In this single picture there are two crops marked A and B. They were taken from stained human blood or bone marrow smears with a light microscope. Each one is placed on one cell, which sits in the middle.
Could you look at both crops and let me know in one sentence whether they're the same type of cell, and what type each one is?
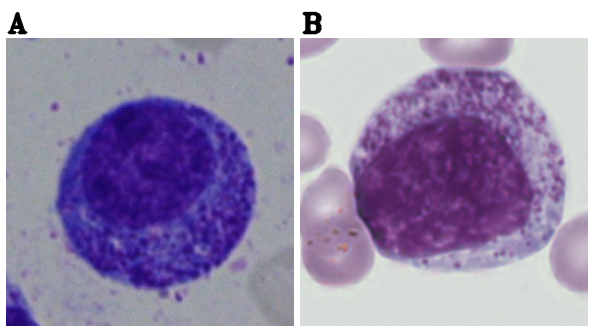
Yes, both crops show promyelocytes, and nothing else needs adding.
